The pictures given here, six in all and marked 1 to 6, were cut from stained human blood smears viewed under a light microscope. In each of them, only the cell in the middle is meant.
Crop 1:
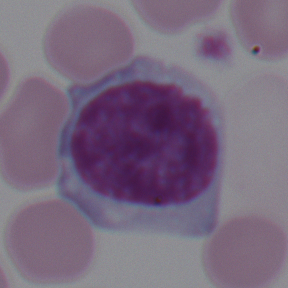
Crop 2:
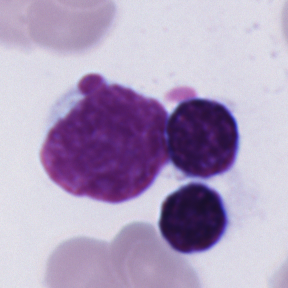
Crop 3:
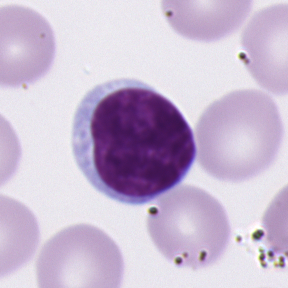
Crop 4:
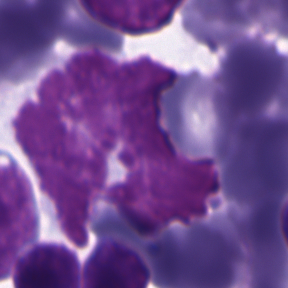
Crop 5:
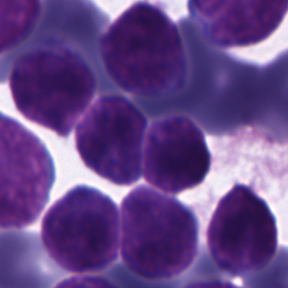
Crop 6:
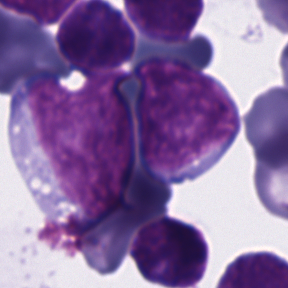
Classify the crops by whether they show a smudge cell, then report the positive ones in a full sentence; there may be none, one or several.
In this set, a smudge cell is present only in crop 4.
